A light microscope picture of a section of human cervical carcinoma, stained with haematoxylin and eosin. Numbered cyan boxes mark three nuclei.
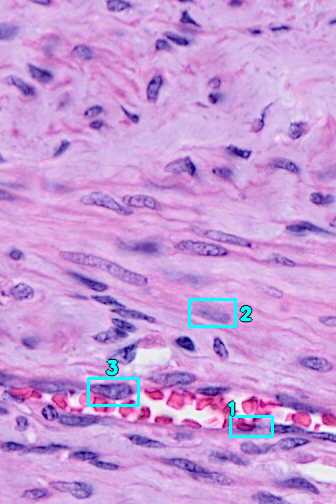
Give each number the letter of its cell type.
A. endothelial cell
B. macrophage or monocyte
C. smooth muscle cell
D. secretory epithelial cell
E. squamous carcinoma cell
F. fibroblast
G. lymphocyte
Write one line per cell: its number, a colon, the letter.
1: A
2: C
3: A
